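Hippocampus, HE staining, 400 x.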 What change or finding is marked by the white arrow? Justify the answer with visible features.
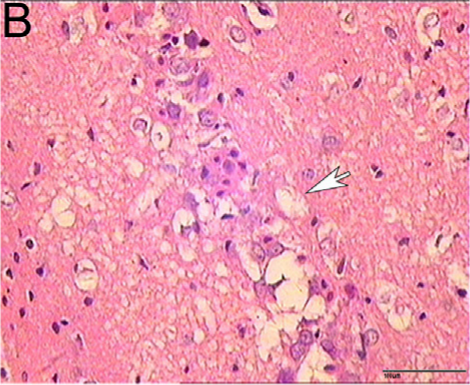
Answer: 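Vacuolar changes. Many round empty vacuoles are scattered through the pink tissue. The vacuoles are clustered around the band of cells.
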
